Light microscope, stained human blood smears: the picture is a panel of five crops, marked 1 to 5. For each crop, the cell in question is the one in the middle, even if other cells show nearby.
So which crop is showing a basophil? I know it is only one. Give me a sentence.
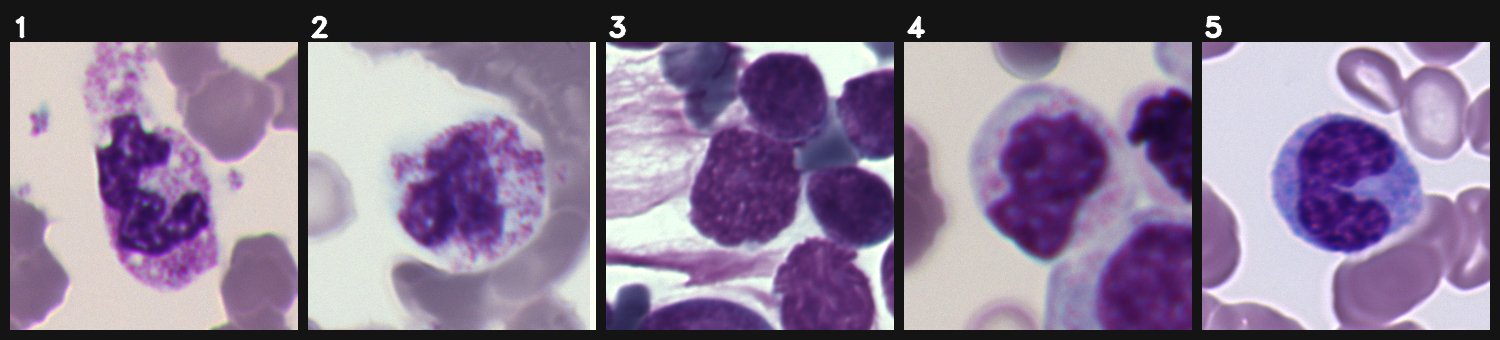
Of the crops given, a basophil is found in crop 2.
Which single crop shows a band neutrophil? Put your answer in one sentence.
It is the cell in crop 4 that is a band neutrophil.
